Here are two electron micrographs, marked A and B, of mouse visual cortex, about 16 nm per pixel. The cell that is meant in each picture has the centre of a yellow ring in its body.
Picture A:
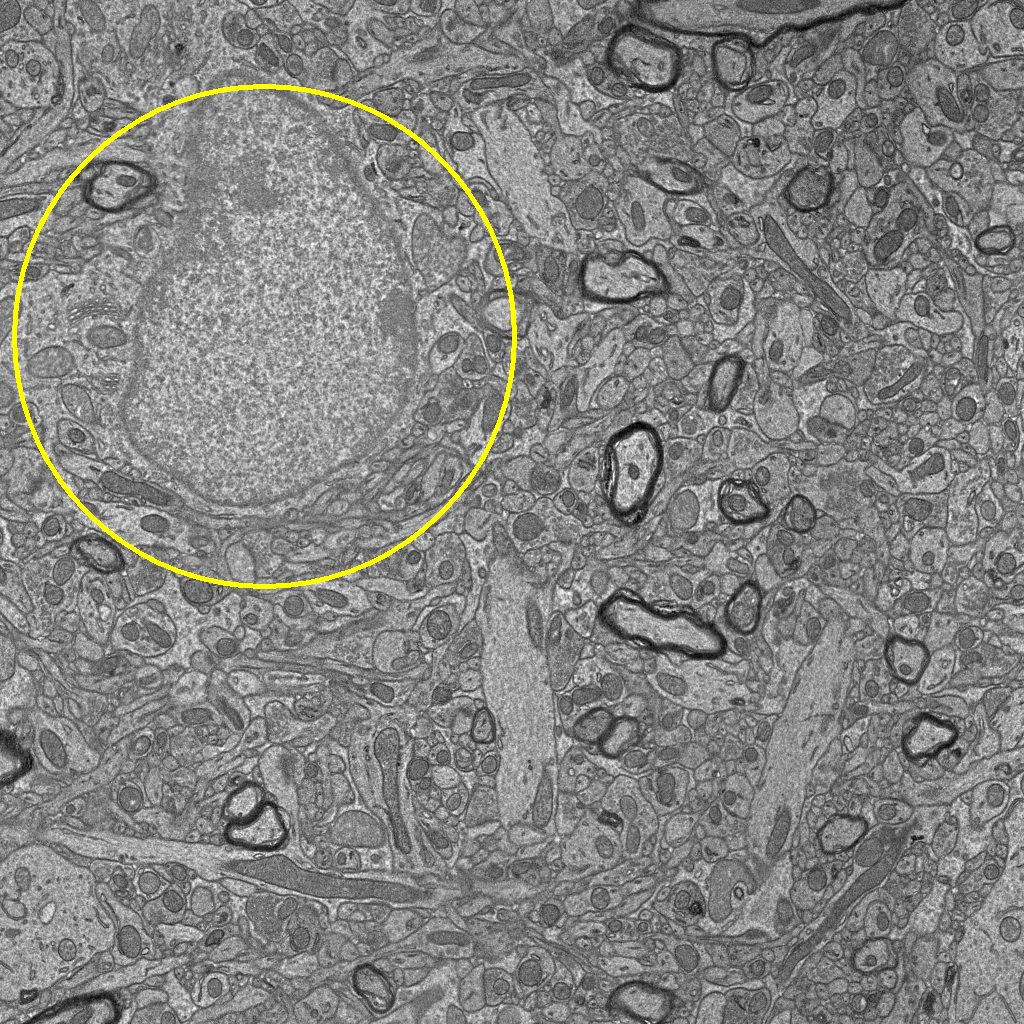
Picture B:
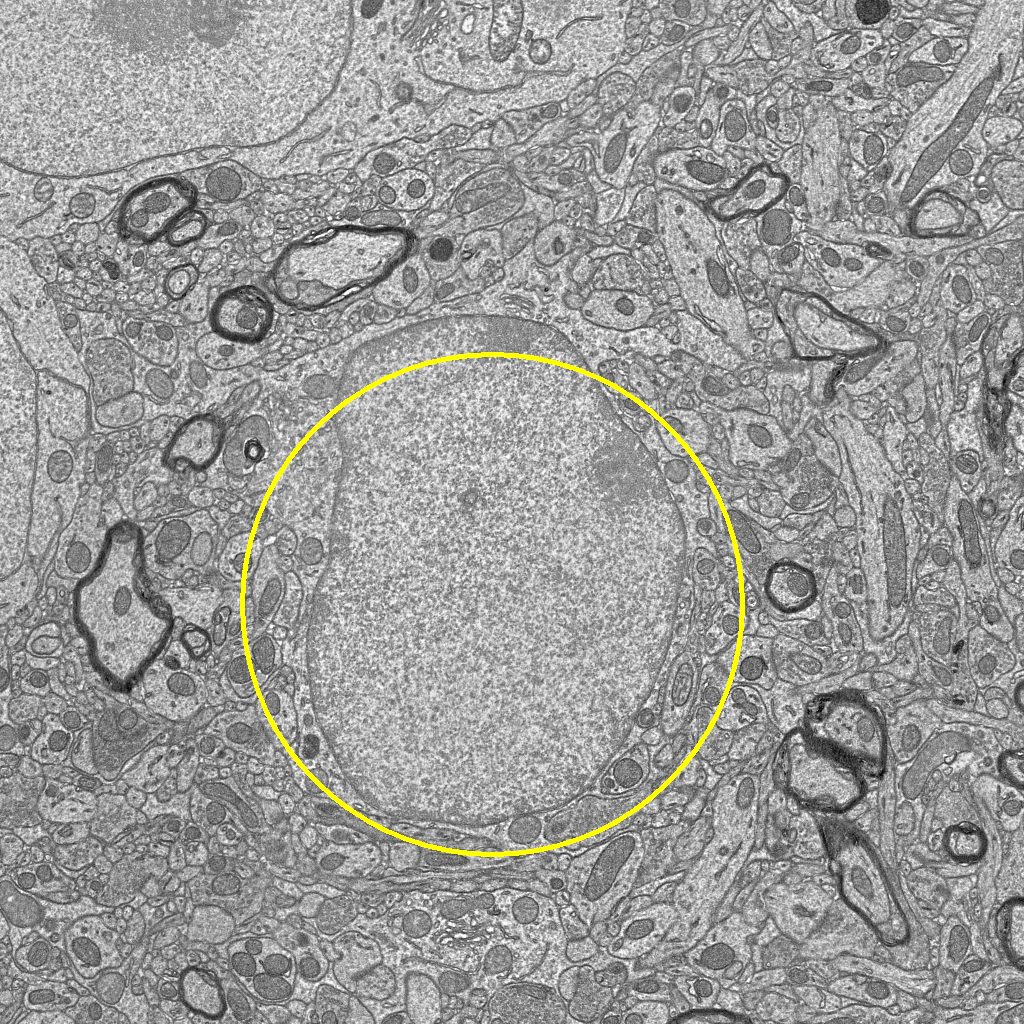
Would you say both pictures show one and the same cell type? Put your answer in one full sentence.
Yes; the cells in both pictures are astrocytes.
